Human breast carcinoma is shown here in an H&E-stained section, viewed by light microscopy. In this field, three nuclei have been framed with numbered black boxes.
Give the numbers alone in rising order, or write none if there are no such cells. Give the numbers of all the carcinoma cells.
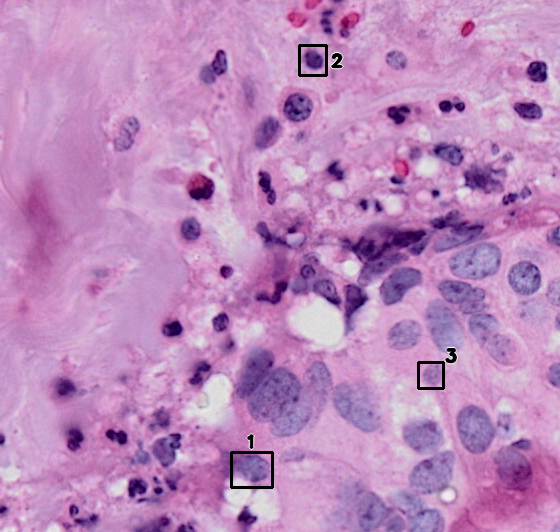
1, 3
